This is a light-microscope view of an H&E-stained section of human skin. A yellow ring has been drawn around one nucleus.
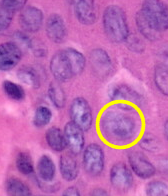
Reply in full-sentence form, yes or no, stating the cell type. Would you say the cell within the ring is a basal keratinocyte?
No, for the cell within the ring the correct label is a suprabasal keratinocyte and not a basal keratinocyte.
